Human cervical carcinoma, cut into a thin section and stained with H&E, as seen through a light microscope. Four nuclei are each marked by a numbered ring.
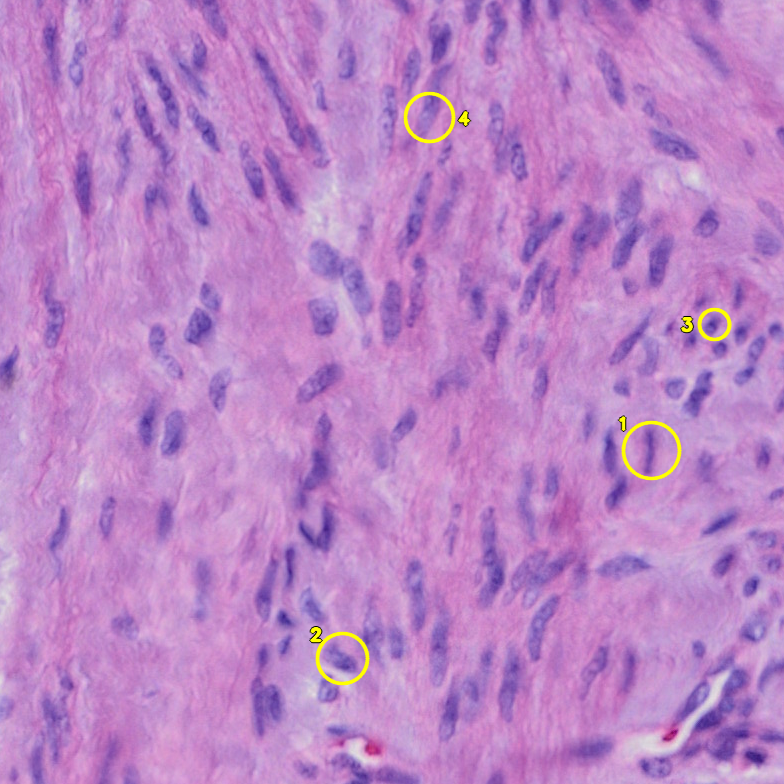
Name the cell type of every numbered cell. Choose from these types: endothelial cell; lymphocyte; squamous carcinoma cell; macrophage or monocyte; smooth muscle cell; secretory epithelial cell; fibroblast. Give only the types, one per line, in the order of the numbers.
smooth muscle cell
fibroblast
smooth muscle cell
smooth muscle cell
